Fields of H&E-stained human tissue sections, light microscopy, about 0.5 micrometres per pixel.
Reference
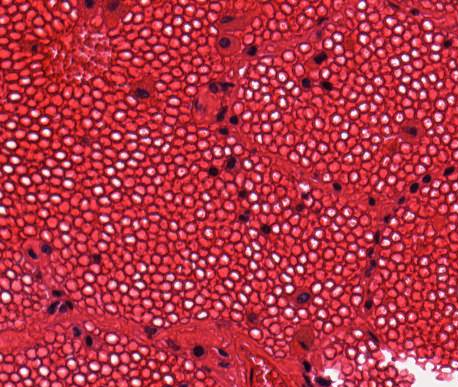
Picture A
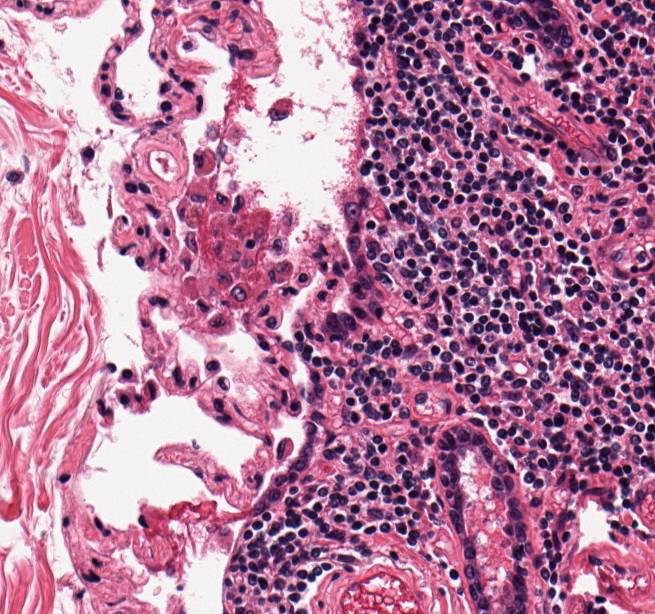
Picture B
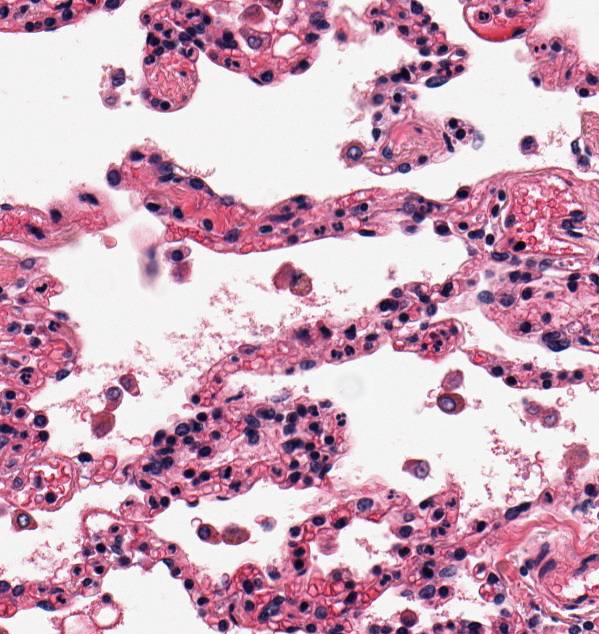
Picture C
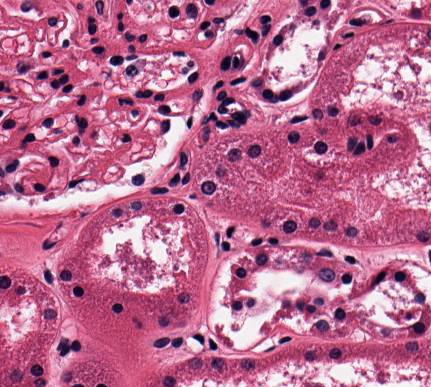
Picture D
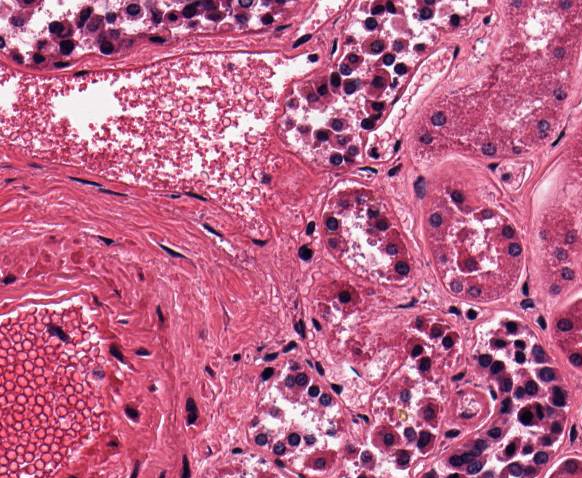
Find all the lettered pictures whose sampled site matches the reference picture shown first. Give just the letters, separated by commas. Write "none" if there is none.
A, B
